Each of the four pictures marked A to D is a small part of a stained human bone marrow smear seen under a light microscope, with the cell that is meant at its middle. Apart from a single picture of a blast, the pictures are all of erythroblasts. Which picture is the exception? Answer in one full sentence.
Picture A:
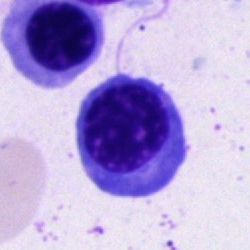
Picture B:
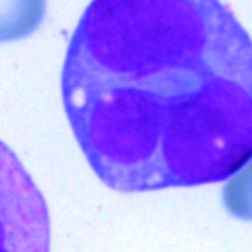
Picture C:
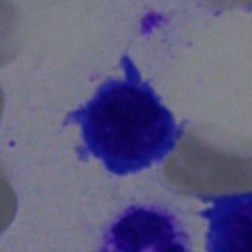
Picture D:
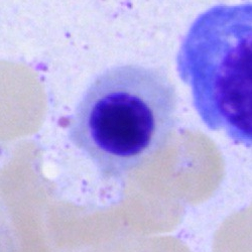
Picture B is the one that shows the blast.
